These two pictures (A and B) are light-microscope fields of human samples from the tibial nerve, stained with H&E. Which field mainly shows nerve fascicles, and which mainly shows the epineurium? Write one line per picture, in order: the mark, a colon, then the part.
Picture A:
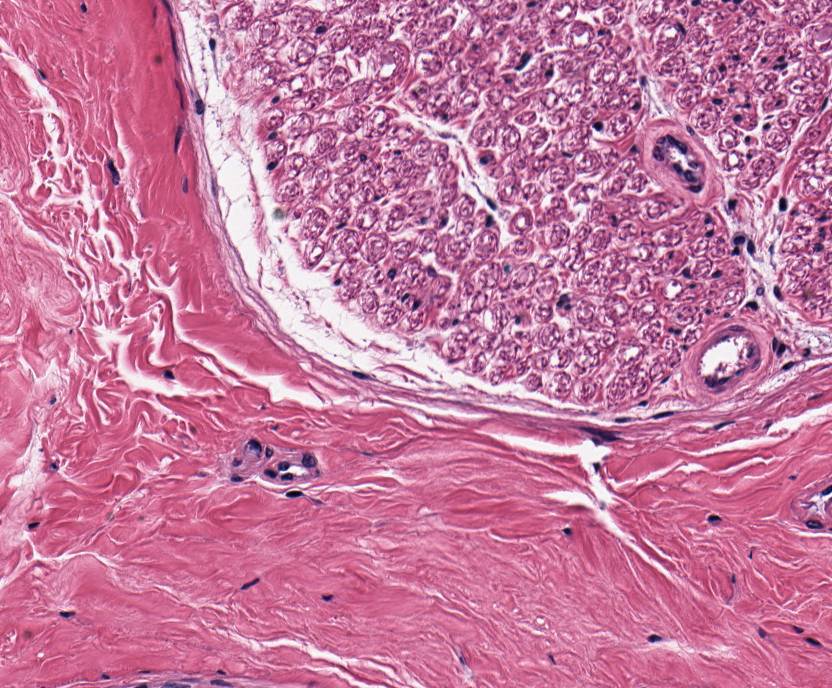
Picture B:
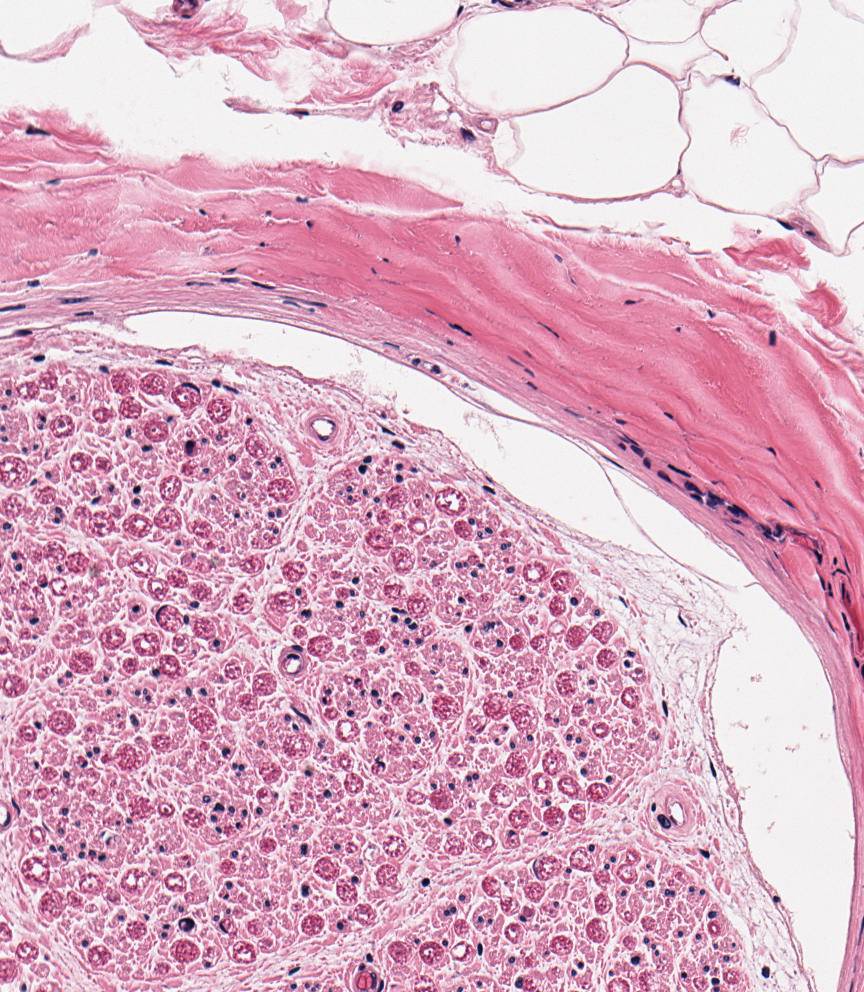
A: epineurium
B: nerve fascicles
